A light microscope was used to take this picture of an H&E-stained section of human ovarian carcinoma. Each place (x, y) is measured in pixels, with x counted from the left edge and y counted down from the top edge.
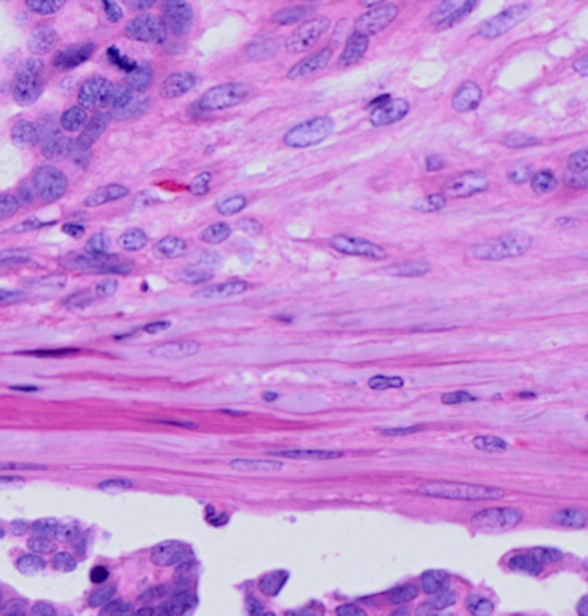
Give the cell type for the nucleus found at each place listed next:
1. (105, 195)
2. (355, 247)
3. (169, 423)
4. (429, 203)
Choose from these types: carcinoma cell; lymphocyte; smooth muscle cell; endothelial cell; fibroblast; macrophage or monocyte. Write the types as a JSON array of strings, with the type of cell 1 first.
["fibroblast", "fibroblast", "smooth muscle cell", "fibroblast"]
